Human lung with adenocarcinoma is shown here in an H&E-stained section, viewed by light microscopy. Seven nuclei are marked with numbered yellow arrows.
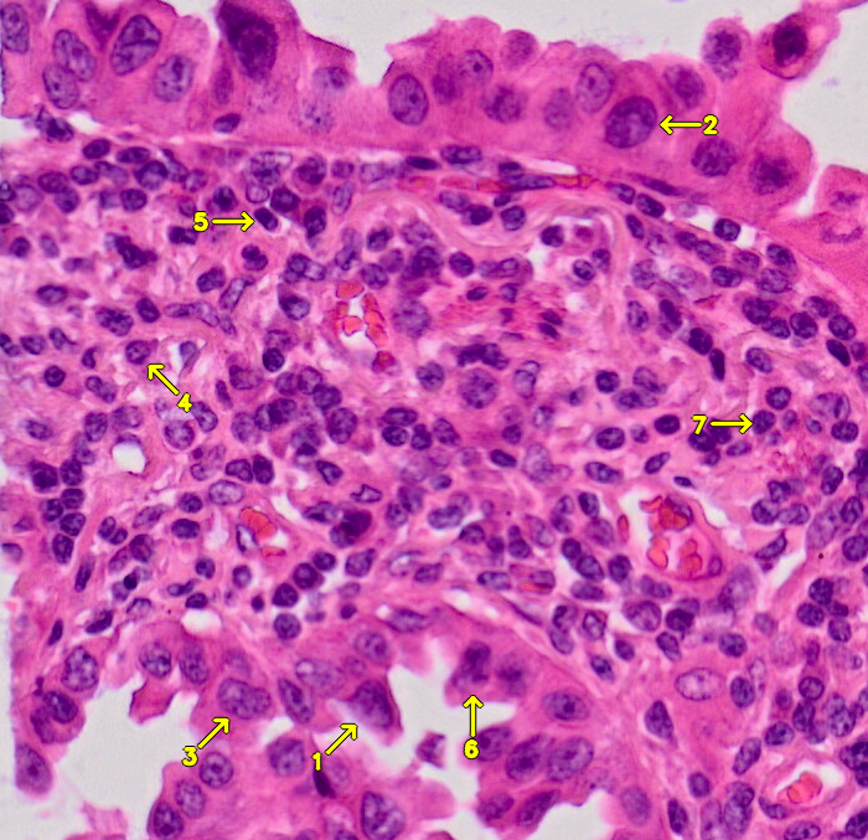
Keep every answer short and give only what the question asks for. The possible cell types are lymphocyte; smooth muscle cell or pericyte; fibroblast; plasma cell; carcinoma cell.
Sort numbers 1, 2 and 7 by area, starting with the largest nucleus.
2, 1, 7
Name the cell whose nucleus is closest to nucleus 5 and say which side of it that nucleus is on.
a plasma cell, above and to the right of nucleus 5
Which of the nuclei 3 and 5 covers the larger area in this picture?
3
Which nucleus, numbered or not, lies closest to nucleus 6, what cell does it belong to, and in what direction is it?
a carcinoma cell to the right of nucleus 6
